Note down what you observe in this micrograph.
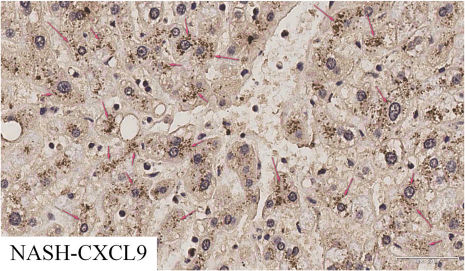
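Many hepatocytes contain coarse brown granules in their cytoplasm, often clustered around the nucleus. A few clear round vacuoles are also present in some cells, and the sinusoidal spaces between the cell plates are visible.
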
